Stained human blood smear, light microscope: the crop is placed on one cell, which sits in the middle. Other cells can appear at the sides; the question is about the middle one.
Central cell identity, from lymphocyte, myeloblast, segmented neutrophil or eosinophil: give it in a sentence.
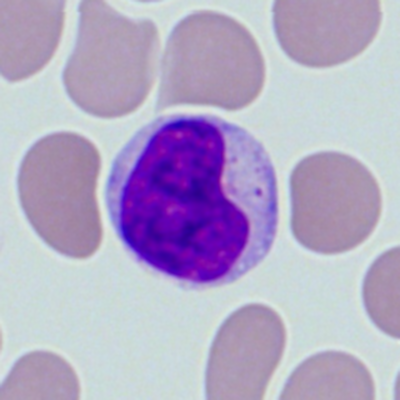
The cell around which this crop is centred is a lymphocyte.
